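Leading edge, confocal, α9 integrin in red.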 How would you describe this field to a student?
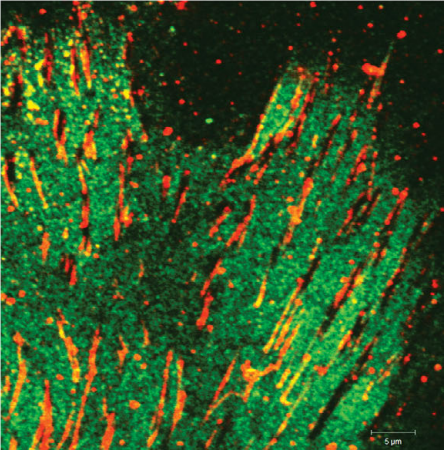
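The plaques are red, elongated streaks that run in roughly parallel diagonal lines across the field. A fine, granular green layer covers most of the substrate. Along many of the red streaks this green layer is missing, leaving dark bands. Where red and green meet, a yellow-orange overlap is seen. The upper right corner has little green.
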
